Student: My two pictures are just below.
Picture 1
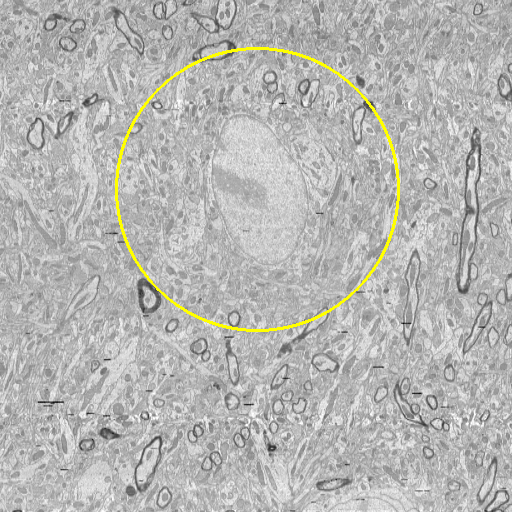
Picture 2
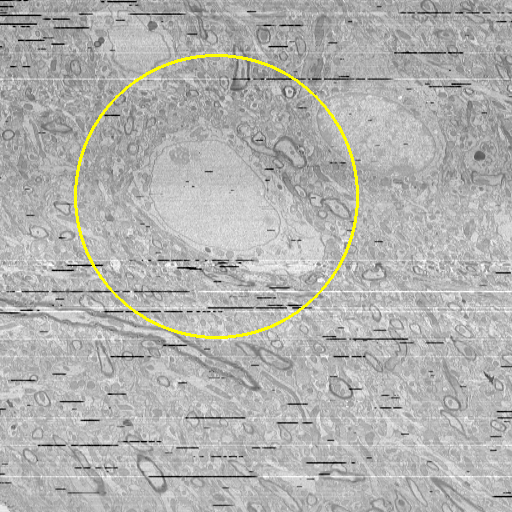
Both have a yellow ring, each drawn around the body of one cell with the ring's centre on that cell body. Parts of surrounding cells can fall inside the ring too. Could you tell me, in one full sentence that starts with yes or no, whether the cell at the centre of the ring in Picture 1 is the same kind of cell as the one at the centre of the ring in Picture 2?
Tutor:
No, the two cells are of two kinds.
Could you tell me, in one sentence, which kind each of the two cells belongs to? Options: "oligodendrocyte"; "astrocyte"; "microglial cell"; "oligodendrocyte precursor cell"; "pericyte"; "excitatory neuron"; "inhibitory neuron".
At the centre of the first ring sits an astrocyte, and at the centre of the second sits an excitatory neuron.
